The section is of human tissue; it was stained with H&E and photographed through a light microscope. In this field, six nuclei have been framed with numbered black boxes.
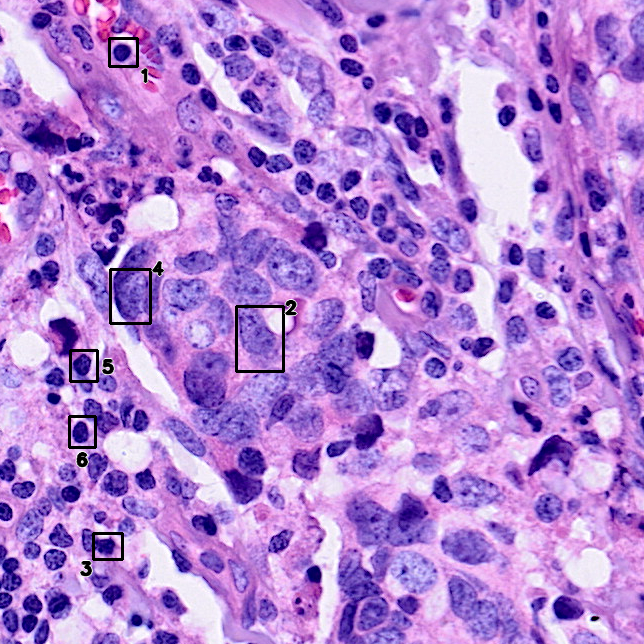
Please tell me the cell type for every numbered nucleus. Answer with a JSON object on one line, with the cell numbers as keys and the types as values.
{"1": "lymphocyte", "2": "carcinoma cell", "3": "lymphocyte", "4": "carcinoma cell", "5": "lymphocyte", "6": "lymphocyte"}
